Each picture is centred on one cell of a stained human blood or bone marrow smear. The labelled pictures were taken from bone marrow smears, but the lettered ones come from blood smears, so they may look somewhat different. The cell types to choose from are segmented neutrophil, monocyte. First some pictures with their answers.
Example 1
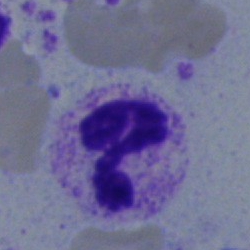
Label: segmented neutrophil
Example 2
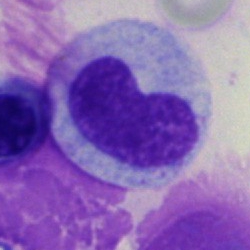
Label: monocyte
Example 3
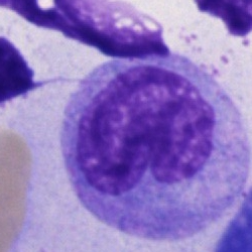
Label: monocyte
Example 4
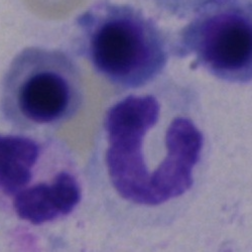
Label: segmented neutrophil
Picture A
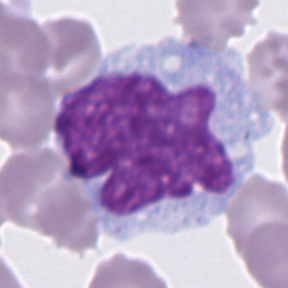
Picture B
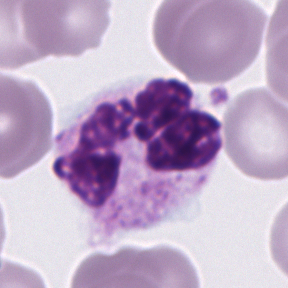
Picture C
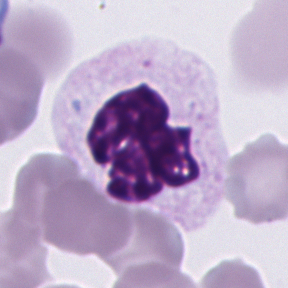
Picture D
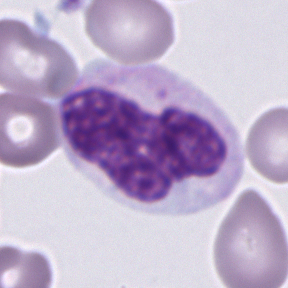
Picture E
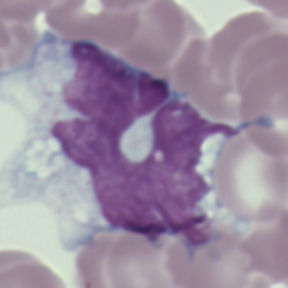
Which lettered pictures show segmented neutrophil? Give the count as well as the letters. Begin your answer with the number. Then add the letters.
3, namely B, C, D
